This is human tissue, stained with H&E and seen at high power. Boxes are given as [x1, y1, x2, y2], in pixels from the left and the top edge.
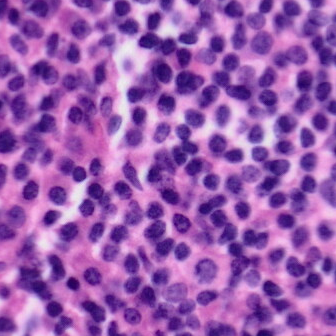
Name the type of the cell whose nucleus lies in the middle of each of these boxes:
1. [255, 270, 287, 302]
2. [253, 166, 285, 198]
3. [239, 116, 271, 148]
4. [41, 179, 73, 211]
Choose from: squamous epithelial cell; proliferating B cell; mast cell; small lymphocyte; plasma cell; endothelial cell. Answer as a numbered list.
1. small lymphocyte
2. small lymphocyte
3. small lymphocyte
4. plasma cell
